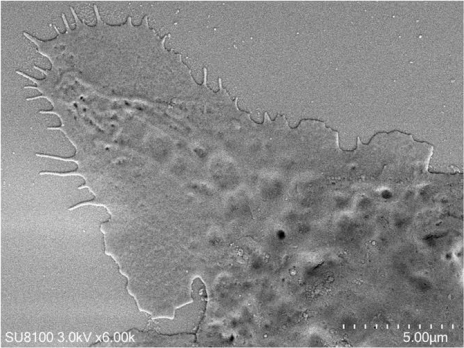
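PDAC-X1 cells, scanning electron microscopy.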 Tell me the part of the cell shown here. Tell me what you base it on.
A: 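Filamentous pseudopodia. Thin finger-like projections extend from the cell margin onto the substrate.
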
